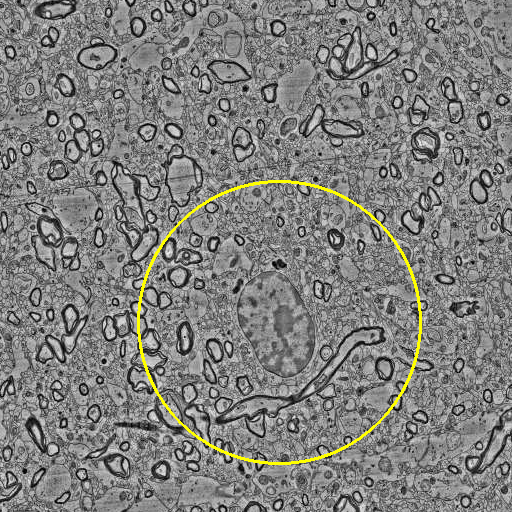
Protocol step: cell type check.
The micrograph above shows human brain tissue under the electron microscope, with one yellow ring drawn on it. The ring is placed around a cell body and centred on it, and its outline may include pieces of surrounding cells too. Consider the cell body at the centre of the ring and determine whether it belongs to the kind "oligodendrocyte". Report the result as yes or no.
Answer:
no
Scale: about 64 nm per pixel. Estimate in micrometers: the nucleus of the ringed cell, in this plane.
In this plane the nucleus measures roughly 7 by 4 micrometres.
